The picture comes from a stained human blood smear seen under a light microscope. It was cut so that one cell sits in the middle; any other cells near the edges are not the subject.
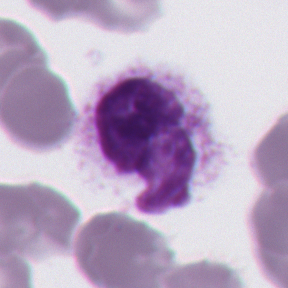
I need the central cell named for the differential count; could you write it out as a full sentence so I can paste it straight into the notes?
The cell centred in this crop is categorized as a neutrophil.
